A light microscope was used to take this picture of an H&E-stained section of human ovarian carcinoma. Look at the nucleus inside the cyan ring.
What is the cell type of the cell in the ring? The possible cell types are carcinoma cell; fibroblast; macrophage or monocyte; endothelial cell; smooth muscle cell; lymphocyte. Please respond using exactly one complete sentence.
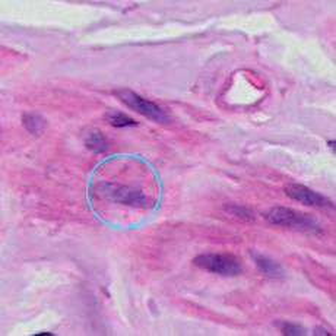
The cell type of the cell in the ring is that of a smooth muscle cell.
